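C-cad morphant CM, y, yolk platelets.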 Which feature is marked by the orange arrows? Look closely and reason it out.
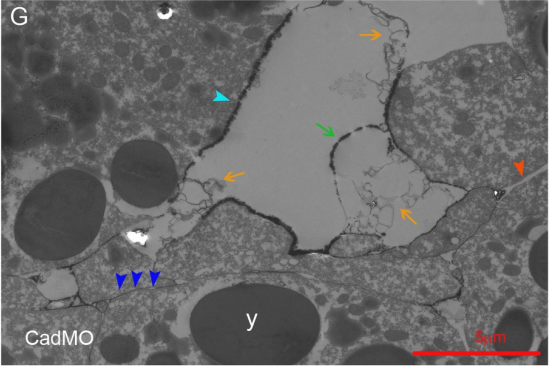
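Shed ribbons. The arrows point to thin, wavy, lightly stained strands lying free in the large pale space. The strands are detached from the cell surfaces.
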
